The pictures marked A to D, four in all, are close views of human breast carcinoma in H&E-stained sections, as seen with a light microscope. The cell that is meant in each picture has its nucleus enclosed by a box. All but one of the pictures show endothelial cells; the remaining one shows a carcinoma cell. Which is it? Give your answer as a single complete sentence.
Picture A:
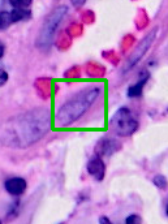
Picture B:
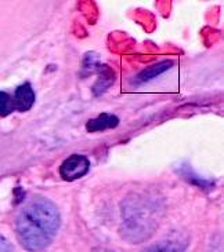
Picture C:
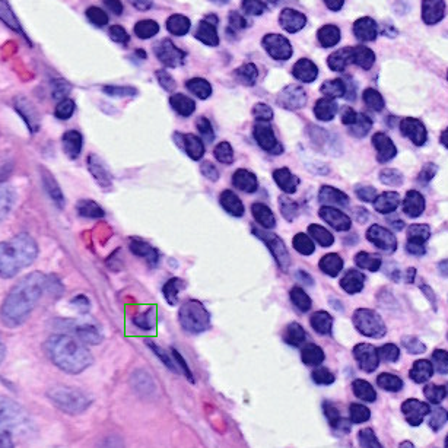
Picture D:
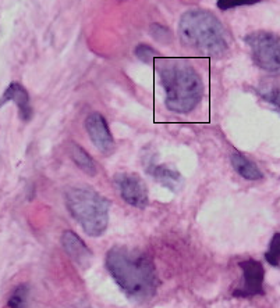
The carcinoma cell is the one in picture D.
